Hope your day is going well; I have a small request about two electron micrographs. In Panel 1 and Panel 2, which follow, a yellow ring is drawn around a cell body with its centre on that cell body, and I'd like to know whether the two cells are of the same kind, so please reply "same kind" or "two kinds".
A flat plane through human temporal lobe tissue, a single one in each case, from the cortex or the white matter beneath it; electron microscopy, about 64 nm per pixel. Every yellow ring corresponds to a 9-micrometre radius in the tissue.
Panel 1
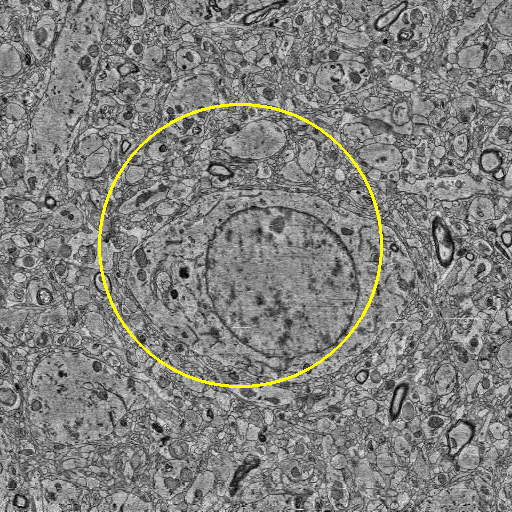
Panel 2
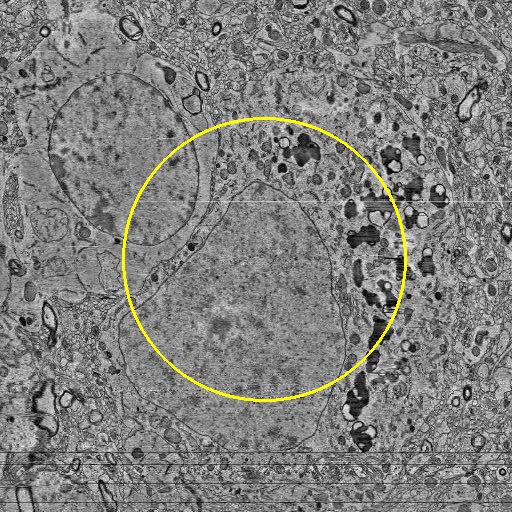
same kind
